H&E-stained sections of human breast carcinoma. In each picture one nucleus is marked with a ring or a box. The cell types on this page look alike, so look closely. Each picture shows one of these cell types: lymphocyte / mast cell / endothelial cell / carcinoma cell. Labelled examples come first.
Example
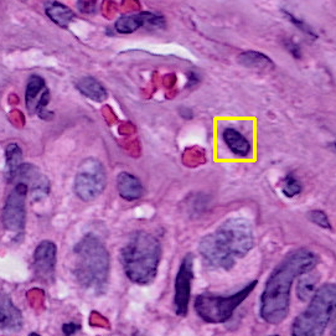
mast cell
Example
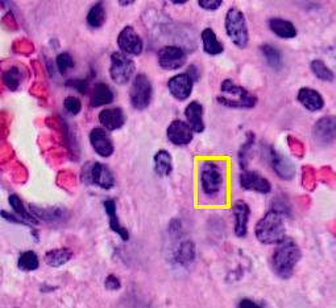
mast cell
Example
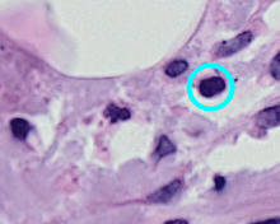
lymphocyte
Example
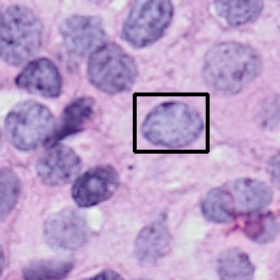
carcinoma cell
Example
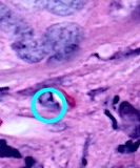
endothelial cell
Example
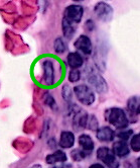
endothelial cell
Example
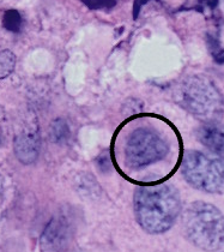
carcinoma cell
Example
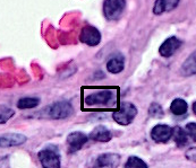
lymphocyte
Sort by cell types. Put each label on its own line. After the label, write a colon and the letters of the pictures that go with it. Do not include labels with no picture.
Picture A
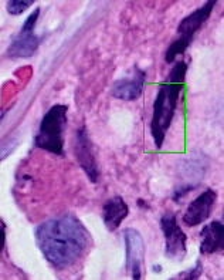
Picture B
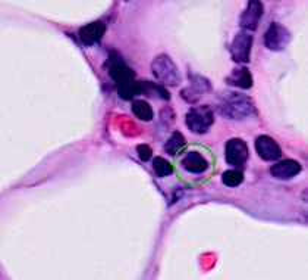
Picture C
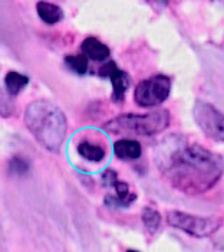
lymphocyte: B, C
carcinoma cell: A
